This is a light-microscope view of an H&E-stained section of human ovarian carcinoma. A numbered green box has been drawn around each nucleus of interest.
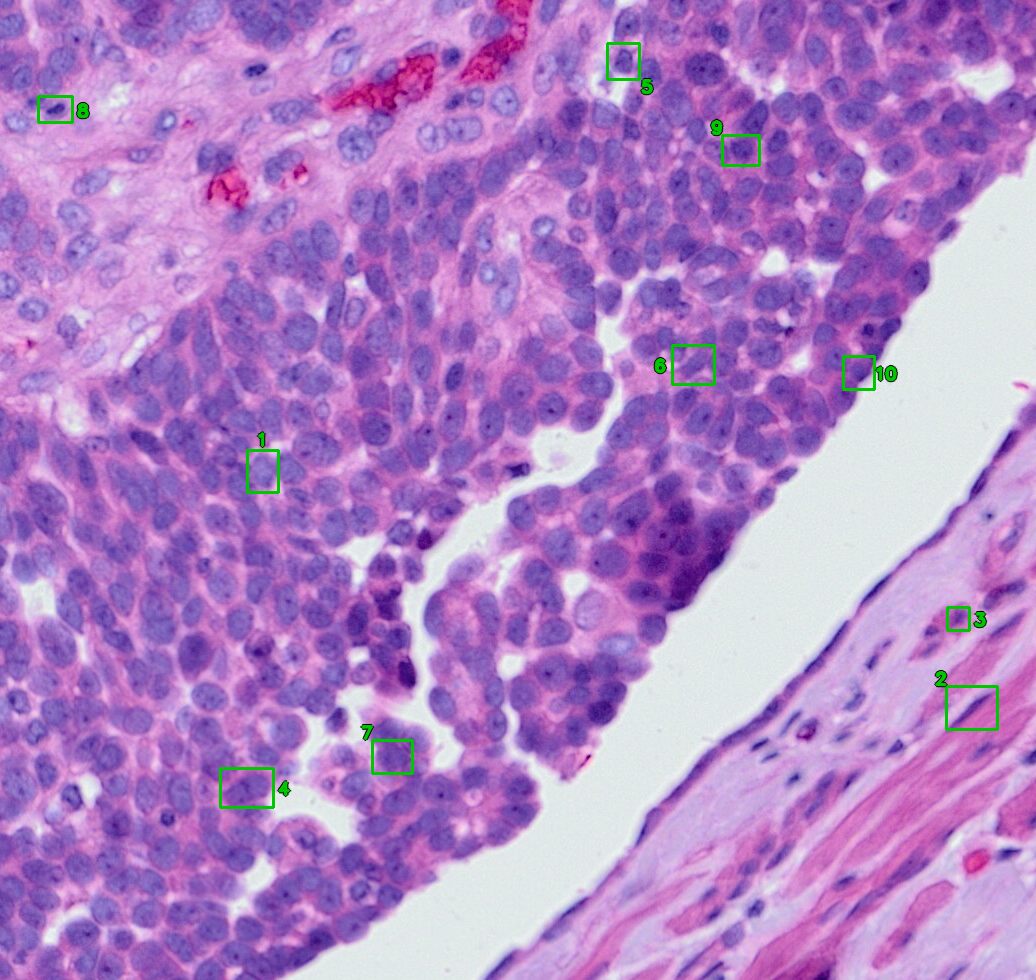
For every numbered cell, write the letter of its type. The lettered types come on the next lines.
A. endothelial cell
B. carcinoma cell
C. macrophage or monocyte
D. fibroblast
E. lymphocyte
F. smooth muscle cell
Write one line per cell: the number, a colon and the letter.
1: B
2: F
3: F
4: B
5: C
6: B
7: B
8: E
9: B
10: B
